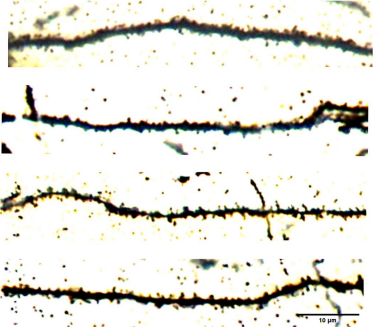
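The dendrite runs horizontally as a thin dark line of fairly even width. Along its edges sit many tiny dark bumps and short protrusions, the dendritic spines. Their crowding differs from strip to strip, some segments looking densely studded and others more smoothly outlined.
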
